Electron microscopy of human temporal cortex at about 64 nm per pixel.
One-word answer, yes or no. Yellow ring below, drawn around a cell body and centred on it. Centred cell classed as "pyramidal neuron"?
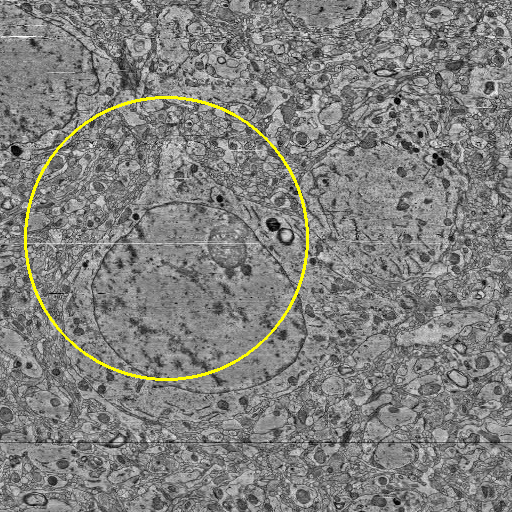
yes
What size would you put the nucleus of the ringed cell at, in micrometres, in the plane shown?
Approximately 14 x 12 micrometres in this plane.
